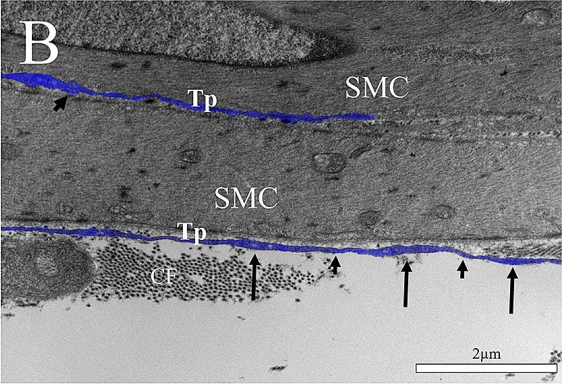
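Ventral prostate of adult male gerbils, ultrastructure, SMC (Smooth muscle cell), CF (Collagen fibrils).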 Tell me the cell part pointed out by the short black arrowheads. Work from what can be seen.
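The arrowheads point to very thin stretches of the blue-coloured process between its swellings. So: podomers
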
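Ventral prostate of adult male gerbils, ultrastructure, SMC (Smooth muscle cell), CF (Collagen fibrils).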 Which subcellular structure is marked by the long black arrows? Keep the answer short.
Podoms.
